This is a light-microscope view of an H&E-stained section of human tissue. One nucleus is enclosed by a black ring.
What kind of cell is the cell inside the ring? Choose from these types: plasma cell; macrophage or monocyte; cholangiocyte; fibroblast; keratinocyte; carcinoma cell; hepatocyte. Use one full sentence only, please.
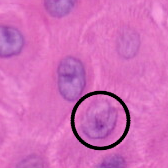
Just put down that the cell inside the ring is a keratinocyte.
